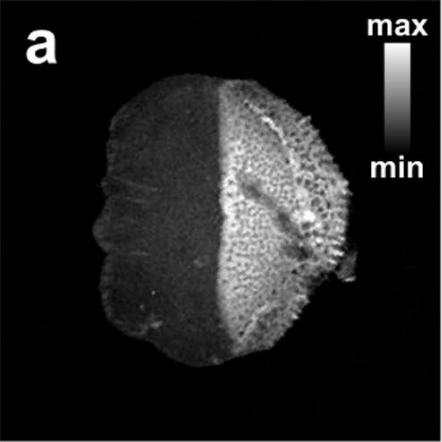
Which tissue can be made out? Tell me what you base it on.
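A flat, rounded plate with a straight-edged brighter half. Small spines project along the margin of the brighter half. Faint radial grooves run across the dimmer half. That points to this answer: scale.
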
